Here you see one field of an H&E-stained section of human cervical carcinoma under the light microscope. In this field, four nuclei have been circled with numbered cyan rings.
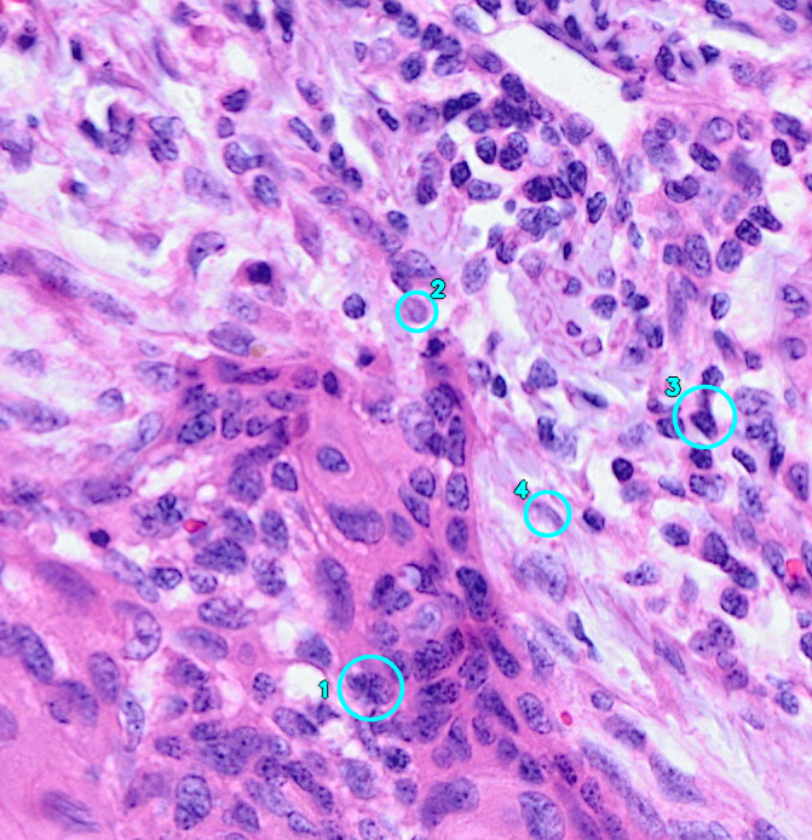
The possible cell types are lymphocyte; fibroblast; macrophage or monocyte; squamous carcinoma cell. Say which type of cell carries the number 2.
macrophage or monocyte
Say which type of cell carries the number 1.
squamous carcinoma cell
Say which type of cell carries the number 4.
fibroblast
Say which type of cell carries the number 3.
lymphocyte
